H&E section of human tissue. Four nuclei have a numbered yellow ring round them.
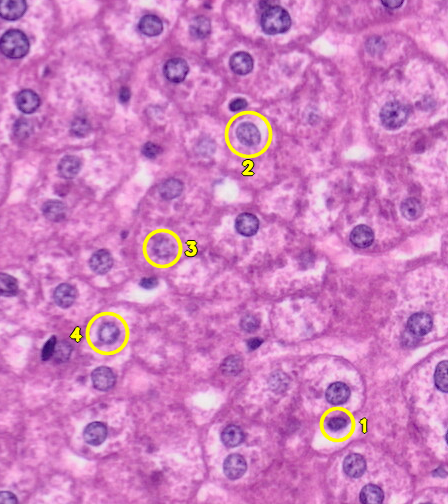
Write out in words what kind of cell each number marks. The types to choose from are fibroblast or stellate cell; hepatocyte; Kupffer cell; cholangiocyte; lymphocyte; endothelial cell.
Cell 1 is a Kupffer cell. Cells 2, 3 and 4 are hepatocytes.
